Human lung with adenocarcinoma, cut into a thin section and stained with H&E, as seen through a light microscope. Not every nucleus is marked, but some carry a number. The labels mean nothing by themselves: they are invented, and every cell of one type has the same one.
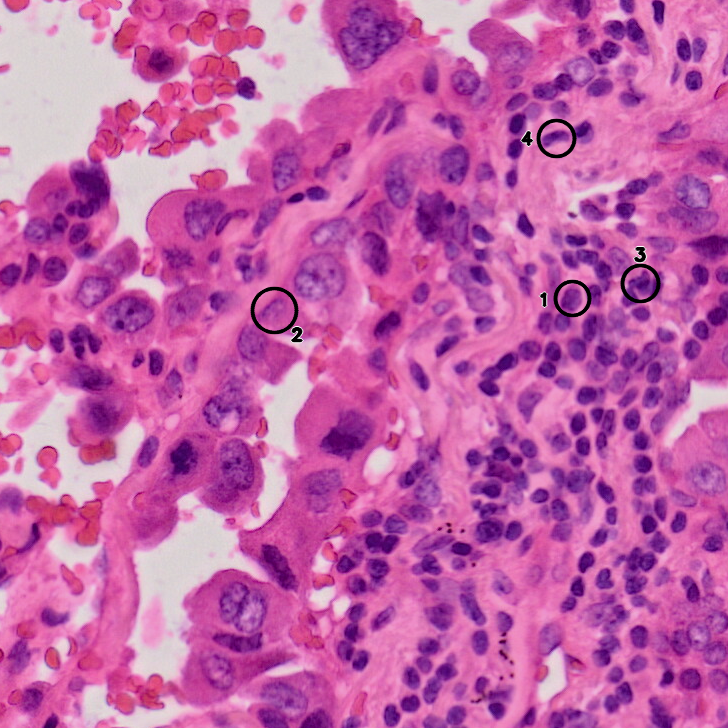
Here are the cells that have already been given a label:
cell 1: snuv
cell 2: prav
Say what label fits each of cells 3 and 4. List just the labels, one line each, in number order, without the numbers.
snuv
snuv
